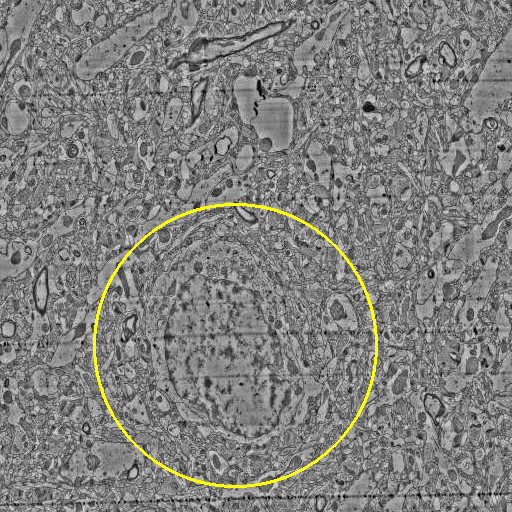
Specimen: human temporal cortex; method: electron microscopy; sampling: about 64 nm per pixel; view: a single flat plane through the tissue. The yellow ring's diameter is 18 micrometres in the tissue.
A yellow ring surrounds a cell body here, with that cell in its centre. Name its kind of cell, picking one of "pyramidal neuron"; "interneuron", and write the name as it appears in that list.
interneuron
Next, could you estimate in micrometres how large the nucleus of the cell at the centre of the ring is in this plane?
The ringed cell's nucleus measures approximately 11 by 8 micrometres in this plane.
